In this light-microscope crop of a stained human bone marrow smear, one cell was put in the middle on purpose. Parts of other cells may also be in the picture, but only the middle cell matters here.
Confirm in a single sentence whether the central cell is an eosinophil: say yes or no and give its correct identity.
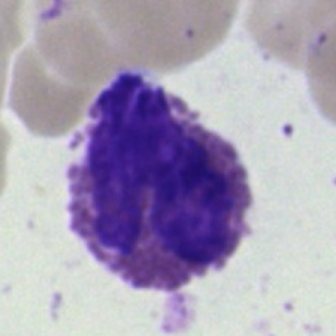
Yes, it is an eosinophil that lies in the middle.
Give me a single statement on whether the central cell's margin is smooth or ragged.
The cell is bounded by a ragged or projection-bearing margin rather than a smooth one.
